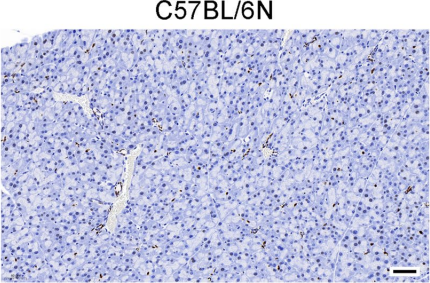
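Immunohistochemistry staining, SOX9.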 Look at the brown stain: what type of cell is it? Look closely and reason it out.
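Normal ductal cells. Brown nuclei are confined to small flattened cells lining thin channels between acini. Acinar cell nuclei are blue.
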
